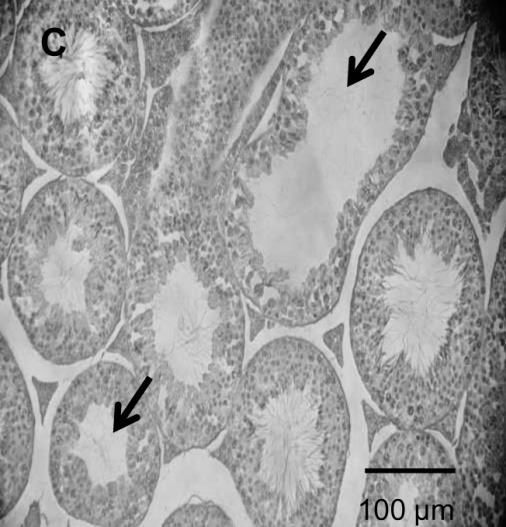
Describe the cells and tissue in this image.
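This section of testis shows seminiferous tubules of mixed appearance side by side. Most tubules are round, with a thick layered epithelium of germ cells and lumens filled with radiating sperm tails, as in ongoing spermatogenesis. Among them lie degenerated tubules: one is large and irregular, with a thin rim of cells around a wide, nearly empty lumen.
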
